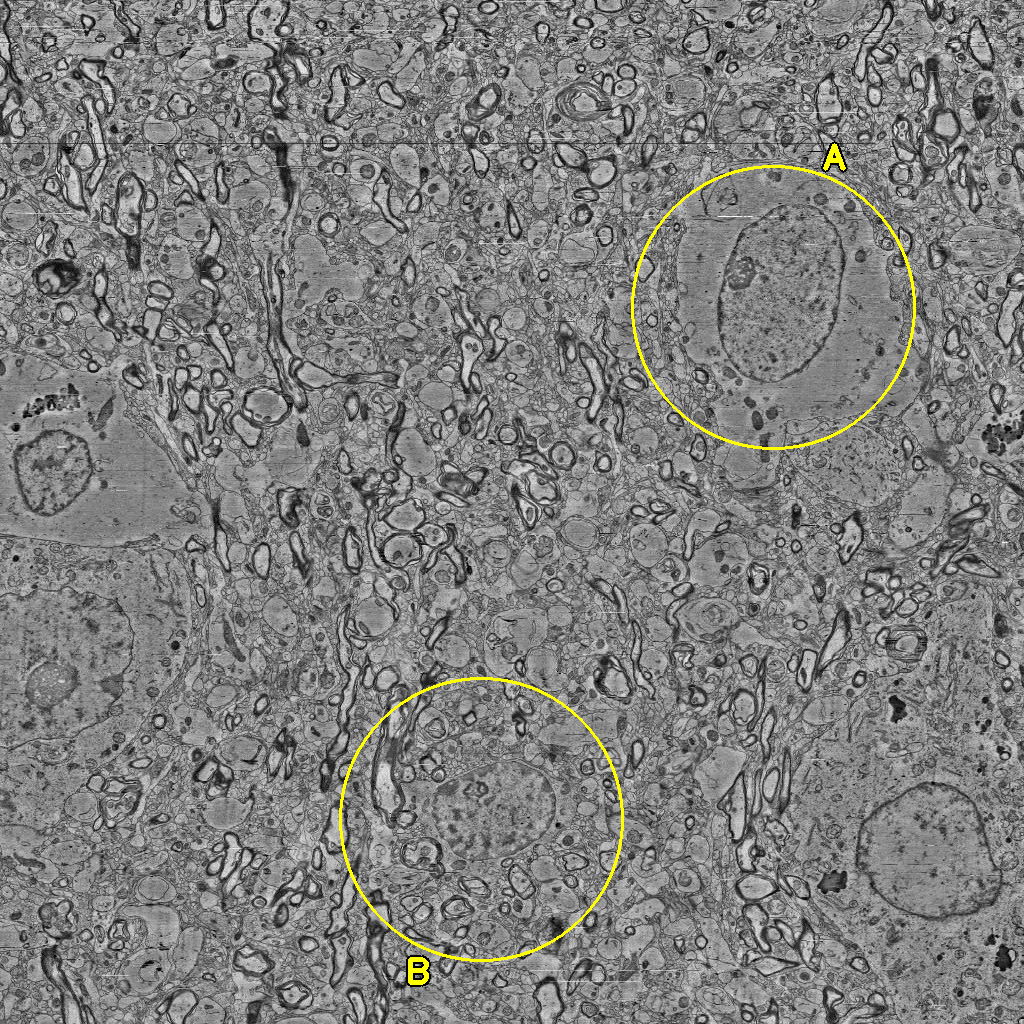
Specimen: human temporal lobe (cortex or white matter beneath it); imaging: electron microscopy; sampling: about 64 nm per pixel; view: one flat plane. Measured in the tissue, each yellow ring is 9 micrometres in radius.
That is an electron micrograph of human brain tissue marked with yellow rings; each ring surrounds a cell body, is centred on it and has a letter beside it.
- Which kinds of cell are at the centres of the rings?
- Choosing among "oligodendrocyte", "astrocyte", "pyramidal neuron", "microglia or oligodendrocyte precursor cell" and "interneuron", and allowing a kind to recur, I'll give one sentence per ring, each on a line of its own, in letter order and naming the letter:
Ring A sits around an astrocyte.
Ring B sits around an oligodendrocyte.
